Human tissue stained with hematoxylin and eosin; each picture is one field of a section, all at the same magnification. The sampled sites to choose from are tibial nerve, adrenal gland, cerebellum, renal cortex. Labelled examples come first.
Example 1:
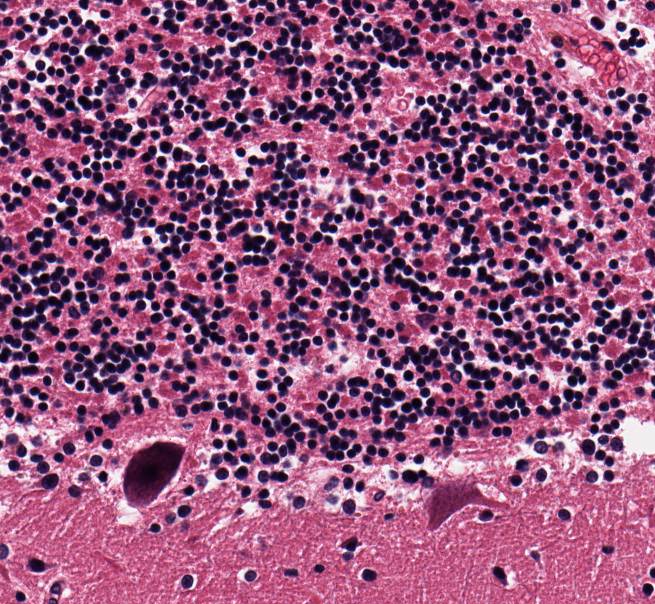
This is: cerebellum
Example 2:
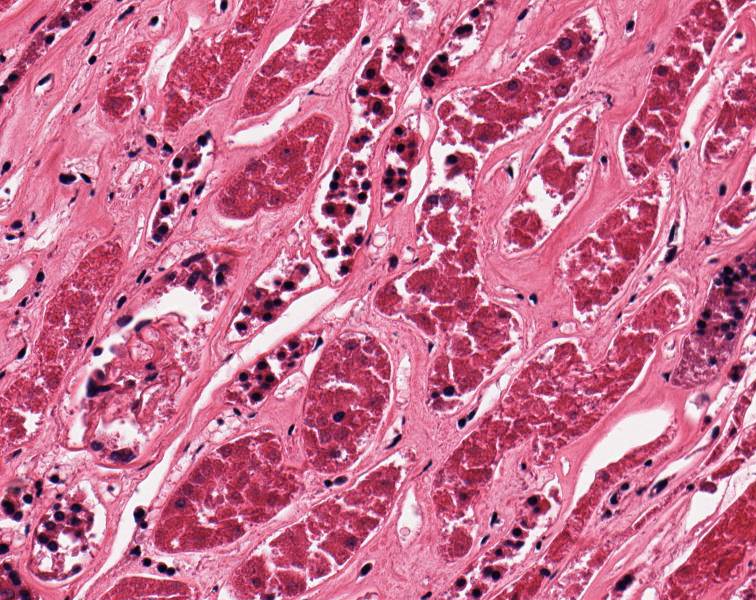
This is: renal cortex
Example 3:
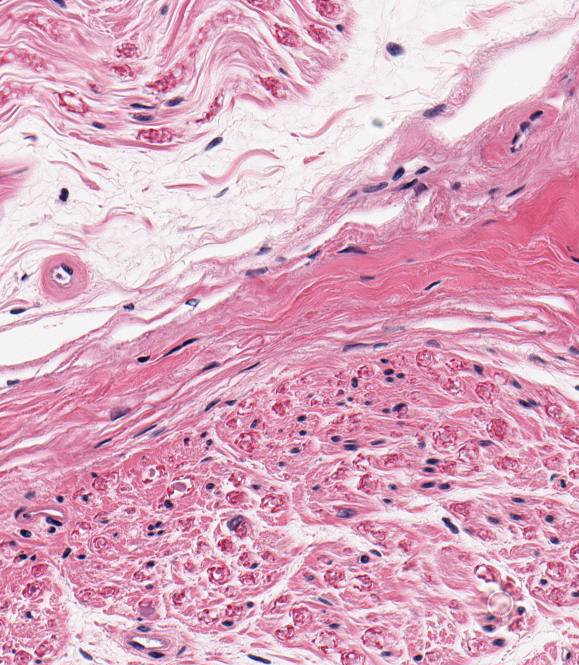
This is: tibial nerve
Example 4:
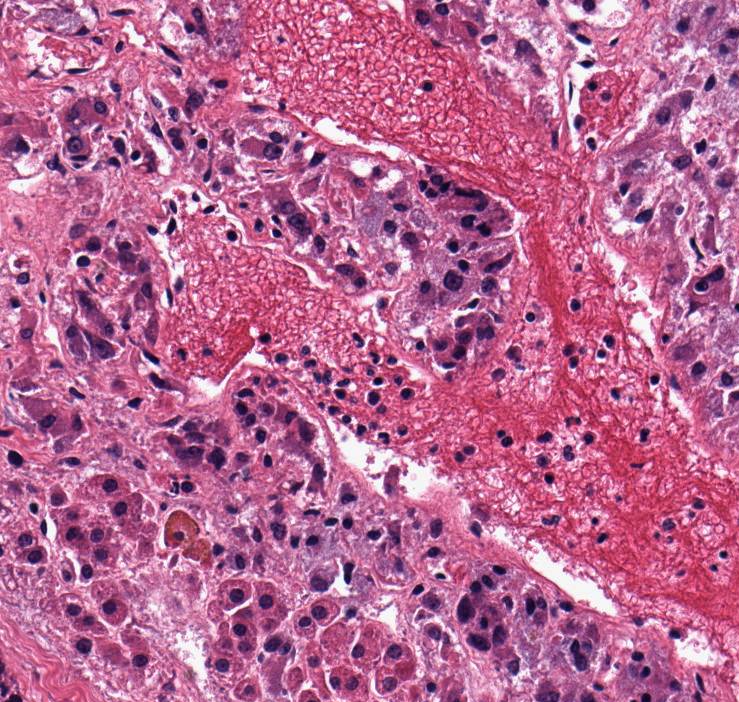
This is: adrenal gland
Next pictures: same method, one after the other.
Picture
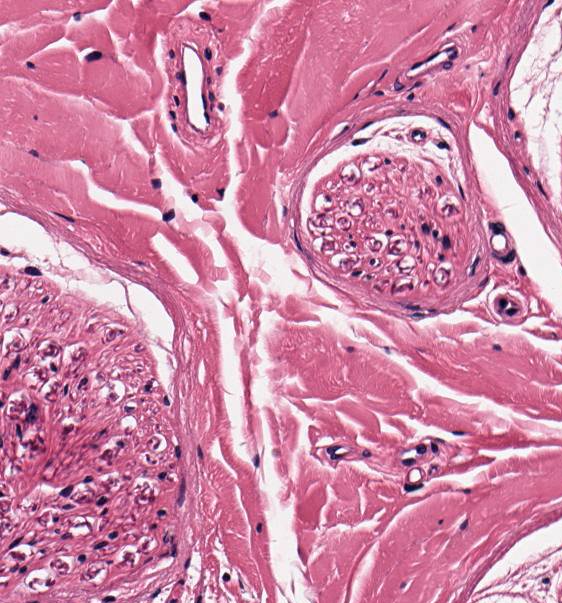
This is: tibial nerve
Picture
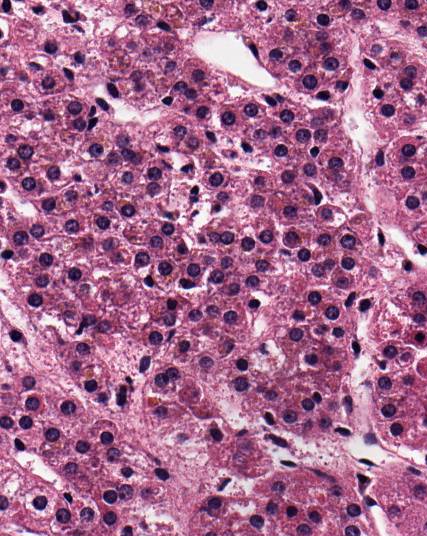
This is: adrenal gland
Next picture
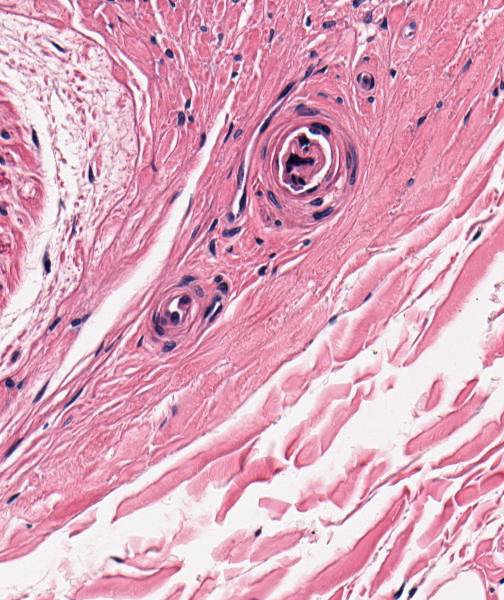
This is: tibial nerve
